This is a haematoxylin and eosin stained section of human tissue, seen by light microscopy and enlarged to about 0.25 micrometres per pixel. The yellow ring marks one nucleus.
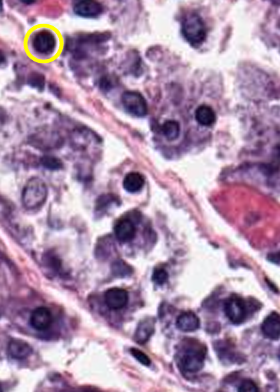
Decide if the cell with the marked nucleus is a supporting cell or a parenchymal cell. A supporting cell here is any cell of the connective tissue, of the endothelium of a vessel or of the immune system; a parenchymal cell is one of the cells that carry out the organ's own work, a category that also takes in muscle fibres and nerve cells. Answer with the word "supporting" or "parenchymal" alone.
supporting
